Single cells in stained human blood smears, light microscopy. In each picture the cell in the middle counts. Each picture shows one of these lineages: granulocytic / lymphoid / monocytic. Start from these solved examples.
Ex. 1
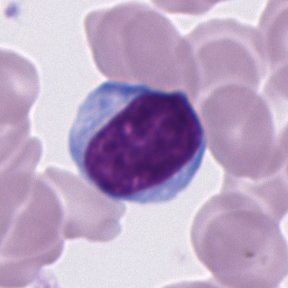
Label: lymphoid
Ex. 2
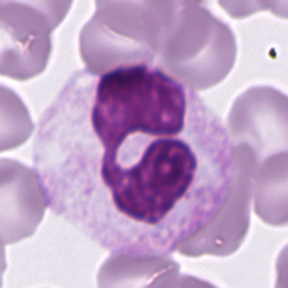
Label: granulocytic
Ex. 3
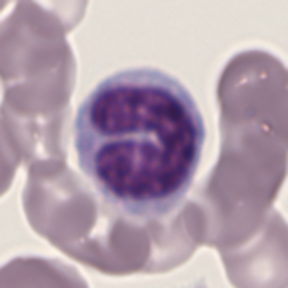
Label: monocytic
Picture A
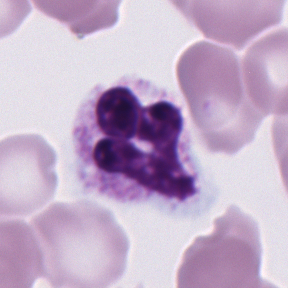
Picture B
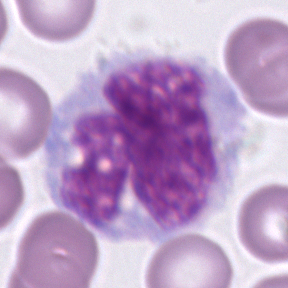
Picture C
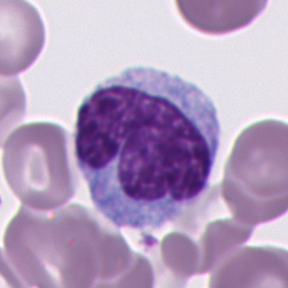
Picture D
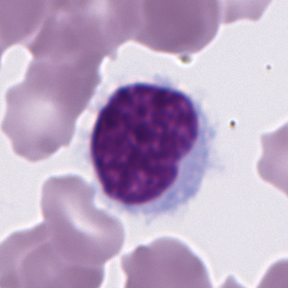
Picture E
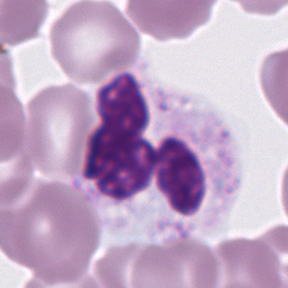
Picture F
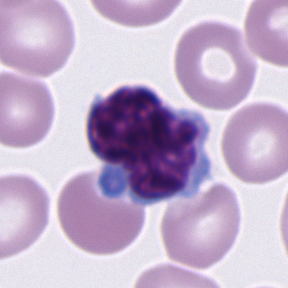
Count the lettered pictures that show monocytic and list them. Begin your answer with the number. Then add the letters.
Count: 2 (B, C)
